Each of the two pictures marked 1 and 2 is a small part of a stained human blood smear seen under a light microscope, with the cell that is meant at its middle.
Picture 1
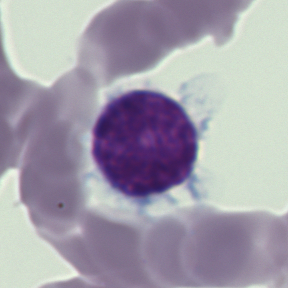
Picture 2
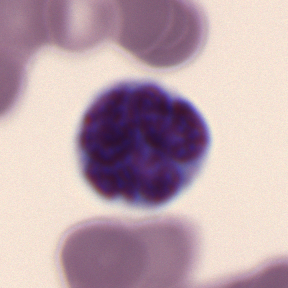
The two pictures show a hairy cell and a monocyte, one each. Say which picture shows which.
1: hairy cell
2: monocyte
